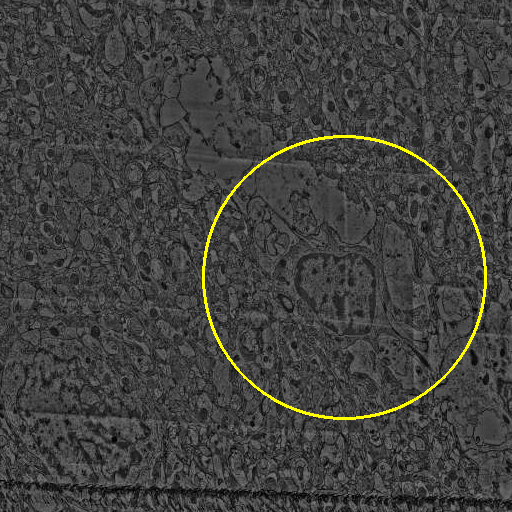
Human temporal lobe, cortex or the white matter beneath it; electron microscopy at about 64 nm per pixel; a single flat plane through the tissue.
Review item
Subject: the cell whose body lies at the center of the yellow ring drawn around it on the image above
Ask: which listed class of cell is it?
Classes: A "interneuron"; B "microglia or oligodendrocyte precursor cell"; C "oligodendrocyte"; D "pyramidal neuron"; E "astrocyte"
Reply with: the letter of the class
B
